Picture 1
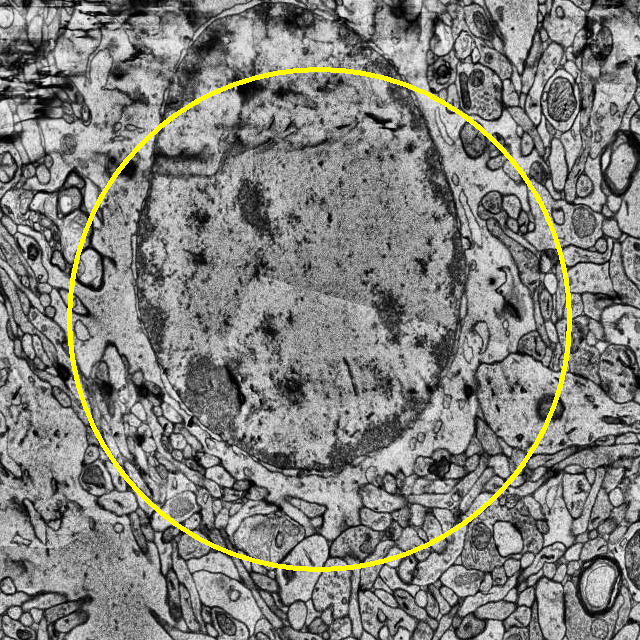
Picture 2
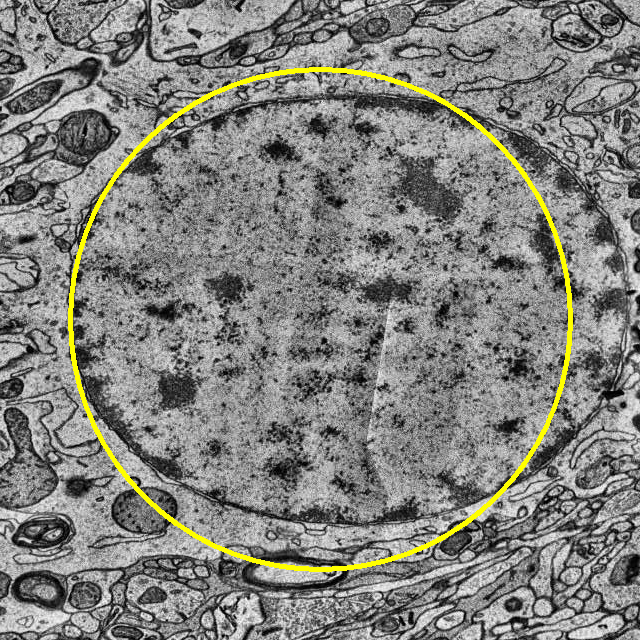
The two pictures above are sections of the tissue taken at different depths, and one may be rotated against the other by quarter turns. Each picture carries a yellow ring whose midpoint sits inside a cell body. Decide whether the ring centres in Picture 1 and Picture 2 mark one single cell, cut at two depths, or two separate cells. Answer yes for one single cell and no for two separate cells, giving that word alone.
yes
